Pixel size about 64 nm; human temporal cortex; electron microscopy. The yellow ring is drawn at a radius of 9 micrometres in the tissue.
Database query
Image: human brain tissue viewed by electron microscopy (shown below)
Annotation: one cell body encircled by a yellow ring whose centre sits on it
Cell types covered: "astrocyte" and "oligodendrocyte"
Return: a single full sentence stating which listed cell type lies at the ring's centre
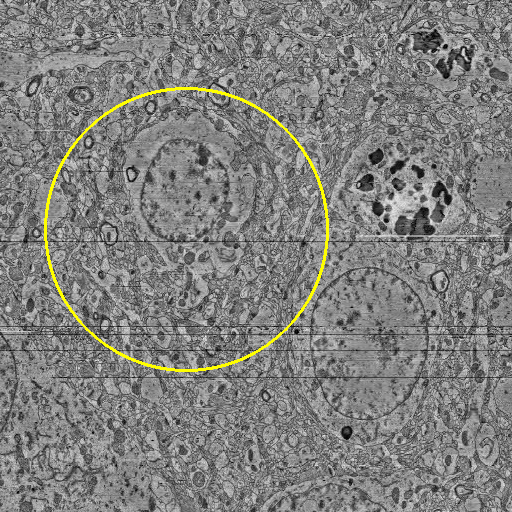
In the image, the cell lying at the ring's centre is an astrocyte.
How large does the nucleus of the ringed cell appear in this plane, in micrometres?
About 7 by 6 micrometers, in this plane.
